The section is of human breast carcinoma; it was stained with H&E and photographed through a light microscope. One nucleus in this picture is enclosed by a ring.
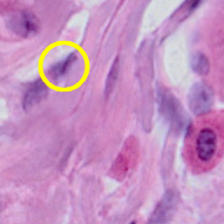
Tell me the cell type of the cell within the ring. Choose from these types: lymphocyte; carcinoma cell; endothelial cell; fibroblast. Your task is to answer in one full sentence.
Histopathologically, the cell within the ring is a fibroblast.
